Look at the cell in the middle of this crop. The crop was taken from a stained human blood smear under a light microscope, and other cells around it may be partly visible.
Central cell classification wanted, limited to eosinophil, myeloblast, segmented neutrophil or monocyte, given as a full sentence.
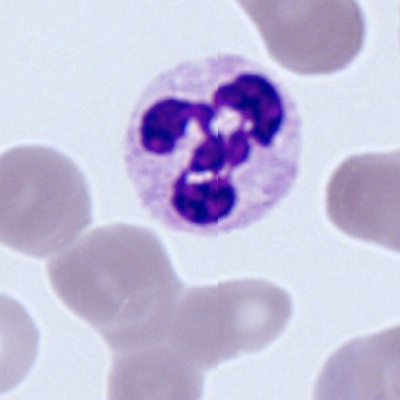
The middle cell in this particular crop is a segmented neutrophil.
